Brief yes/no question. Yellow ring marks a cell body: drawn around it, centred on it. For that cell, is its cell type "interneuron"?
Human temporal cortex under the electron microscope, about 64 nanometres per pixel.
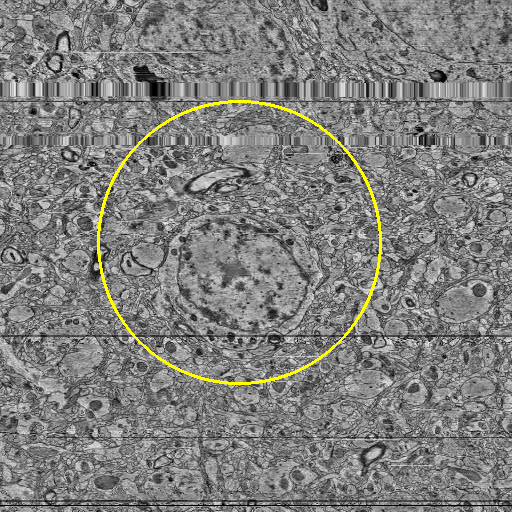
Yes, that is the cell type.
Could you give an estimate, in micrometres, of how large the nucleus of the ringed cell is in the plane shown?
In this plane, roughly 9 by 7 micrometres.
